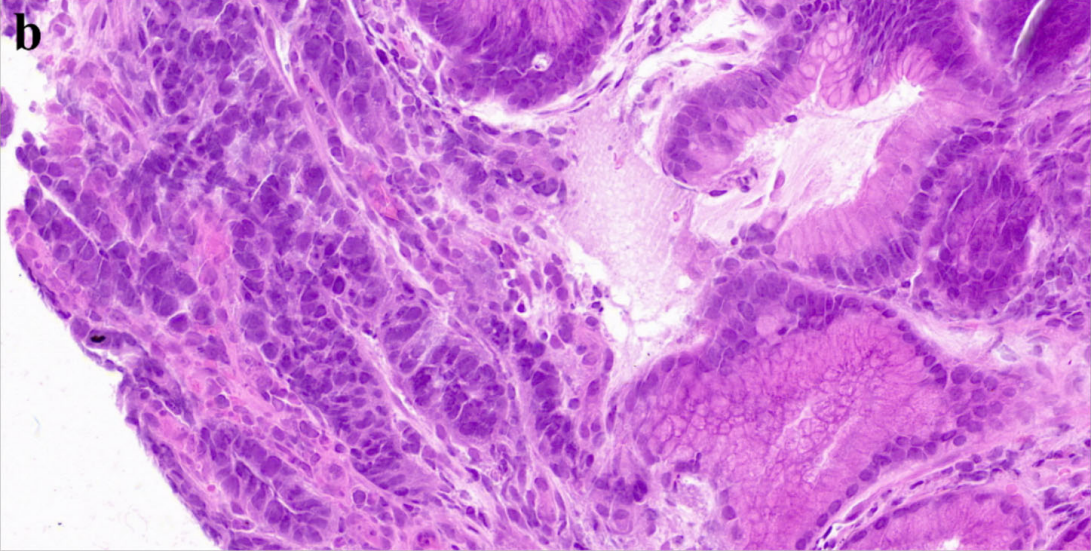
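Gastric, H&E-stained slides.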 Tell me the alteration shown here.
Adenocarcinoma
